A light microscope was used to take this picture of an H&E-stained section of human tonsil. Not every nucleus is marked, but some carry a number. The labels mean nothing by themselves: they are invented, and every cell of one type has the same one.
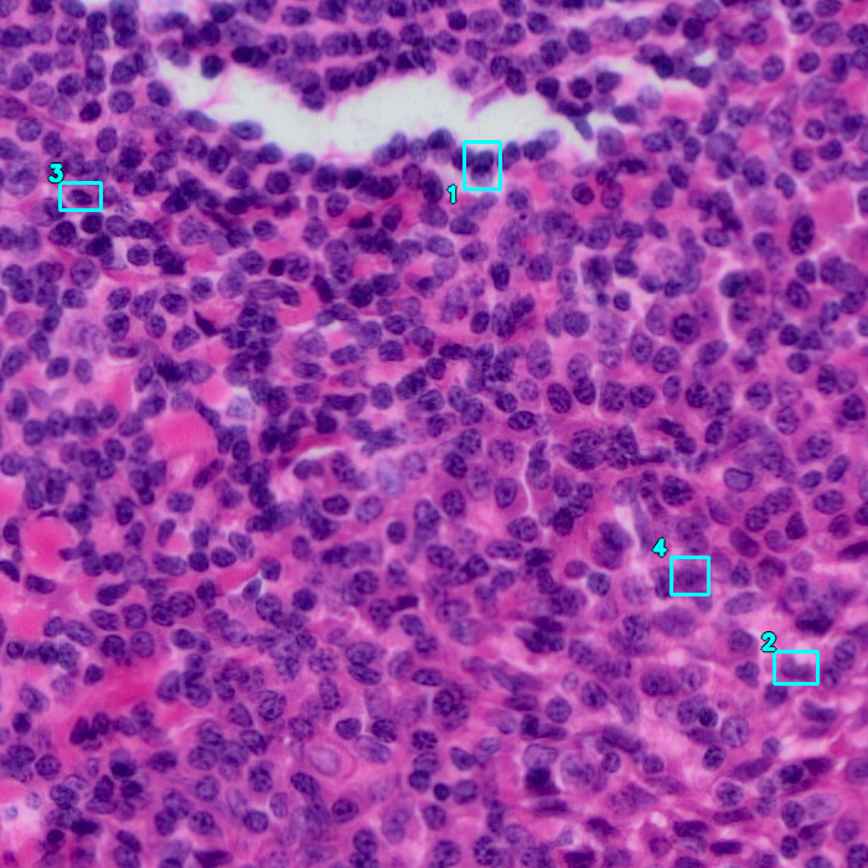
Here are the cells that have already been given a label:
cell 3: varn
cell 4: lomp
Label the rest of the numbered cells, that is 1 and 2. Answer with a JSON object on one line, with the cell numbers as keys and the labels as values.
{"1": "varn", "2": "lomp"}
